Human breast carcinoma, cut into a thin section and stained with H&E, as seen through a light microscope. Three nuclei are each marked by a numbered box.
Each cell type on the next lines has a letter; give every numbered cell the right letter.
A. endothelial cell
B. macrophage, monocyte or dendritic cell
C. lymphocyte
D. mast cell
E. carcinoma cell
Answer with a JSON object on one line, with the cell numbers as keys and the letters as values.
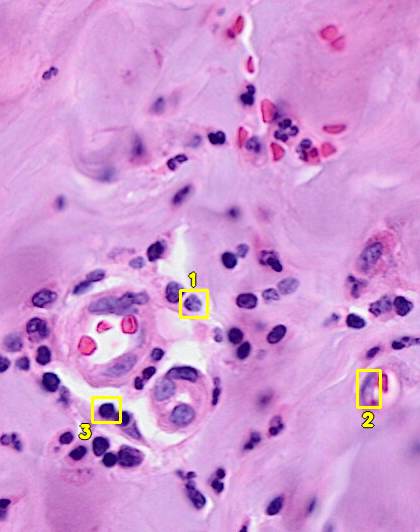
{"1": "C", "2": "A", "3": "C"}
